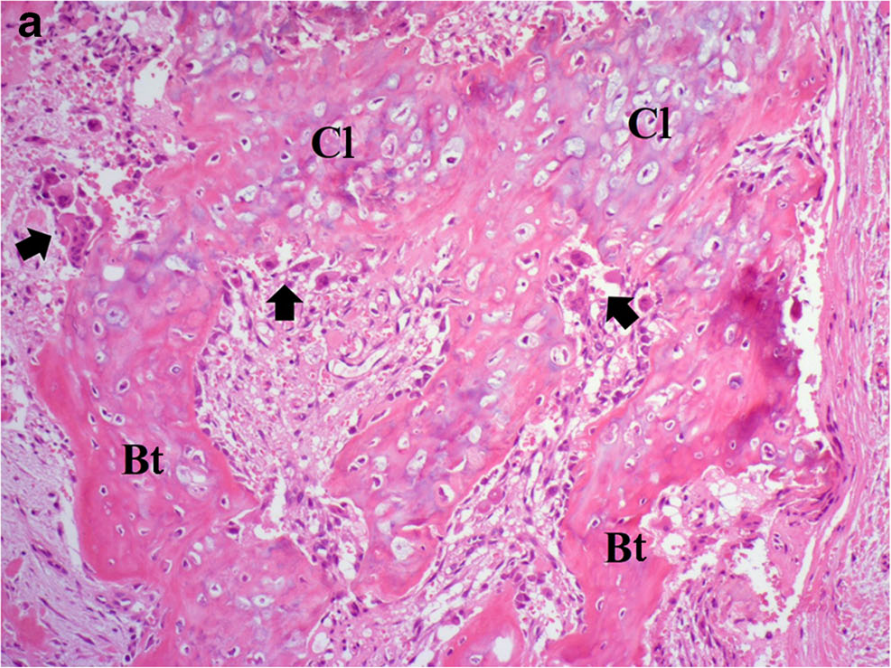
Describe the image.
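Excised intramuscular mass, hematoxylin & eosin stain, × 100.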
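Toward the top, the matrix has a bluish-purple tinge and holds rounded cells sitting in clear spaces, like cartilage. Toward the bottom, it turns into more uniformly pink bone matrix with smaller embedded cells. Between the trabeculae lies loose, cellular stroma with many small dark nuclei. At the matrix surfaces, some large cells with several nuclei can be seen.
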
